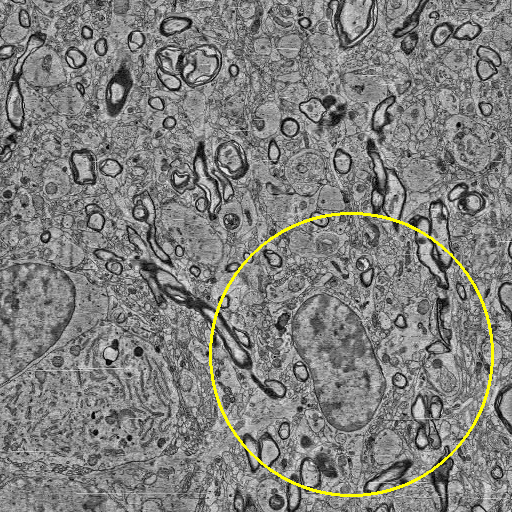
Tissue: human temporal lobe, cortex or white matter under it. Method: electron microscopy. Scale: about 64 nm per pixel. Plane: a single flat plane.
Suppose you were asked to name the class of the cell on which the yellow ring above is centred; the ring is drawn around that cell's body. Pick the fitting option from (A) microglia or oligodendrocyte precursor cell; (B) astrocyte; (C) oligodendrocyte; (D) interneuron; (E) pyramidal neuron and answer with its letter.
A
